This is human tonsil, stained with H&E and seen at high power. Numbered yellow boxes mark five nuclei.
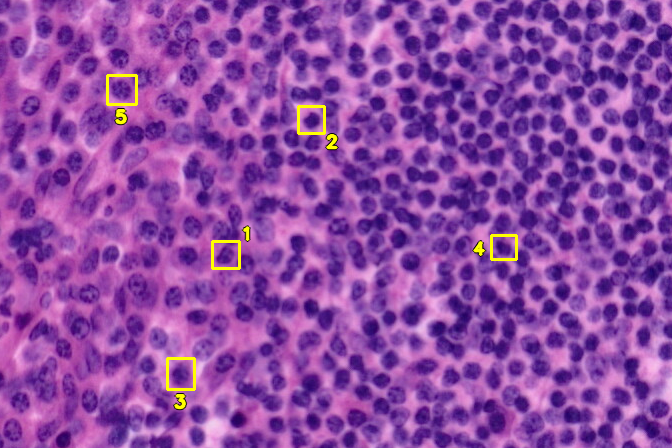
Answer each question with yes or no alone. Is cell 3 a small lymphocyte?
no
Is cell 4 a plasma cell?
no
